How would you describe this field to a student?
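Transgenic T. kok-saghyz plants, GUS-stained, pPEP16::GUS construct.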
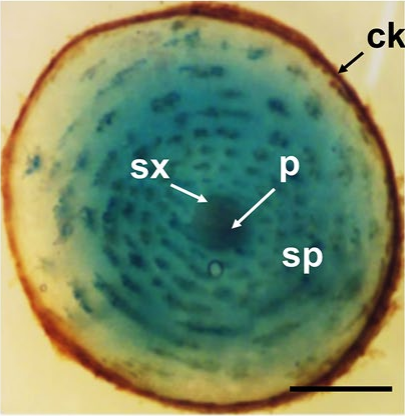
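Transverse section of a root with a small central secondary xylem around a darkly stained pith, surrounded by a broad secondary phloem and a thin outer cork. The secondary phloem holds many small elongated strands arranged in concentric rings, and blue stain is strongest in the inner phloem and centre, fading toward the periphery. The cork forms a continuous dark brown rim.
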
